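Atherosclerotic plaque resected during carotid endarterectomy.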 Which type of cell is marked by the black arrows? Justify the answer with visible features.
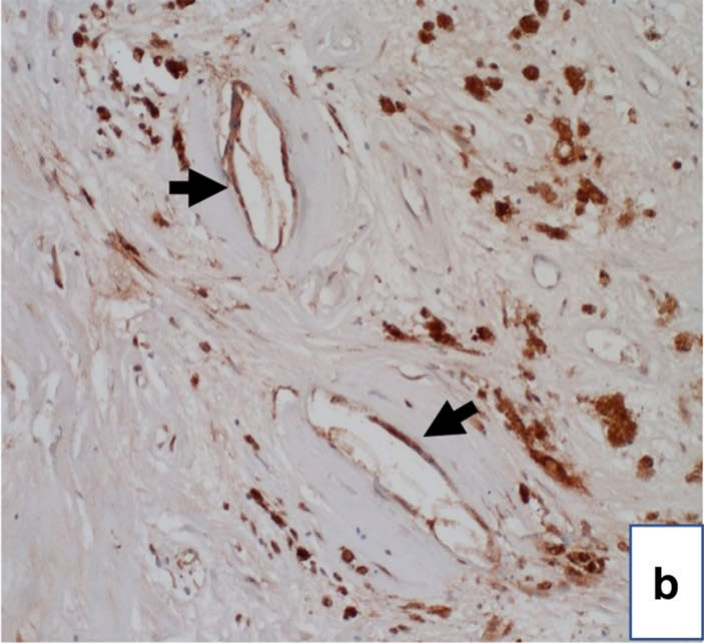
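Vascular endothelial cells. The arrows point to a thin brown line lining the inner surface of elongated empty lumens. The lining is a single flat layer around each lumen.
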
